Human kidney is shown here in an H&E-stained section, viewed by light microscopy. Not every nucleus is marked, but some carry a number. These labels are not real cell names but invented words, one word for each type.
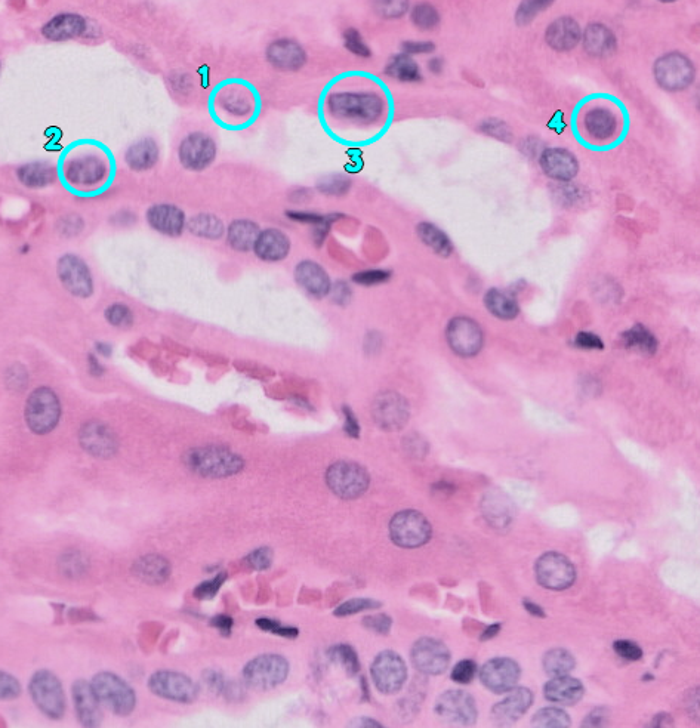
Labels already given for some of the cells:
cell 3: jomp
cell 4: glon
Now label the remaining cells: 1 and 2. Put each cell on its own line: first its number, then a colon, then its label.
1: jomp
2: jomp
